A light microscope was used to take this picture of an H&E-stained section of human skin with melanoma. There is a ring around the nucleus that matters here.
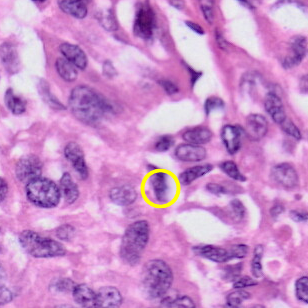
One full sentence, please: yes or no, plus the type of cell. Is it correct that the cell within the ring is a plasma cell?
No, that's not it; the cell within the ring is a melanoma cell rather than a plasma cell.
